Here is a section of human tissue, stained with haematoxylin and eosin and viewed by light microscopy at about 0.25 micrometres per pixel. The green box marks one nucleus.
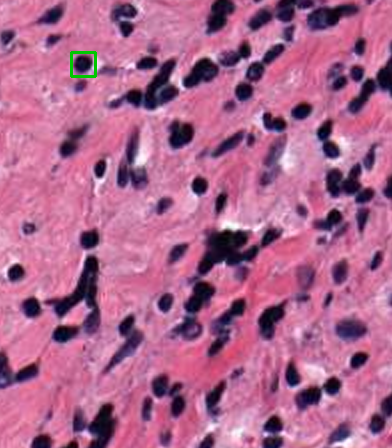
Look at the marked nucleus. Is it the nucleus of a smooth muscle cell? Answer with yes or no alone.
no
